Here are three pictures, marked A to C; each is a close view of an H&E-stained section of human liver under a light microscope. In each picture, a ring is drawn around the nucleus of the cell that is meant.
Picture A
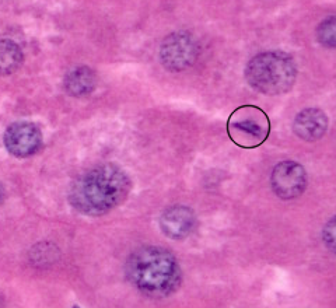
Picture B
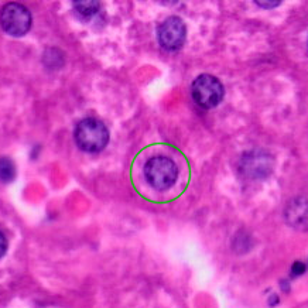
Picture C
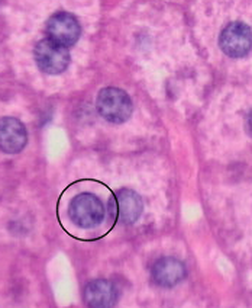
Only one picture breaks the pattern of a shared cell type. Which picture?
A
